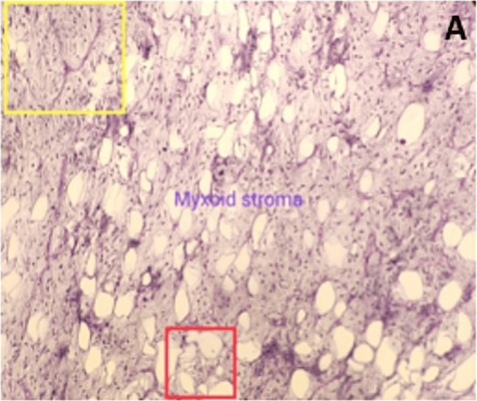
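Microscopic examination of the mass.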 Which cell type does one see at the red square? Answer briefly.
lipoblasts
